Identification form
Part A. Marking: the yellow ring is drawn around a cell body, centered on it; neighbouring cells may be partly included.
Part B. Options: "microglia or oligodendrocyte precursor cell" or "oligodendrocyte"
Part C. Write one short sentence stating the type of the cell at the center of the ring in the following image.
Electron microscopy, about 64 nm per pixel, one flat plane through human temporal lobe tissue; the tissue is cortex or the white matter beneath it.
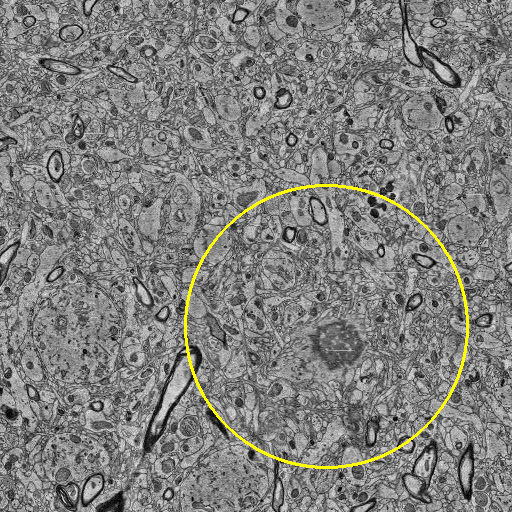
The center of the ring holds an oligodendrocyte.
